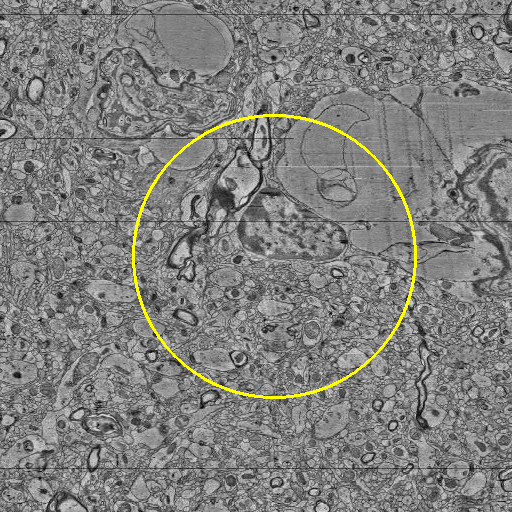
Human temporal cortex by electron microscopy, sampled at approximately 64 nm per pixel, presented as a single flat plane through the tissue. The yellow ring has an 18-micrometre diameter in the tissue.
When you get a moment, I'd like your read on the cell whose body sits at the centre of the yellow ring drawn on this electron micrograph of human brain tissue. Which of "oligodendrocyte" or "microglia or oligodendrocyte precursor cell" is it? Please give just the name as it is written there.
microglia or oligodendrocyte precursor cell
